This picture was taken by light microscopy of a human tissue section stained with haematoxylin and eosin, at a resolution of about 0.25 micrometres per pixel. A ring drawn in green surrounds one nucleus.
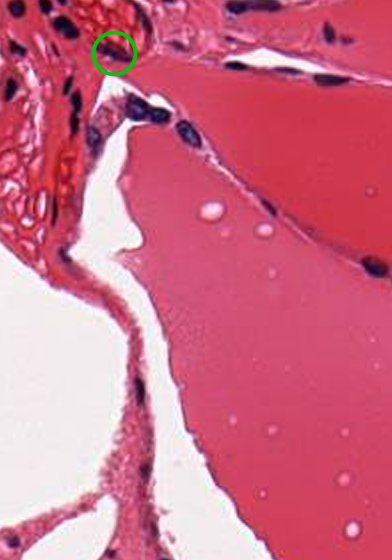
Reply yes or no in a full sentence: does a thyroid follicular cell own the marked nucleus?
No, the nucleus that is marked belongs to a supporting cell rather than to a thyroid follicular cell.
